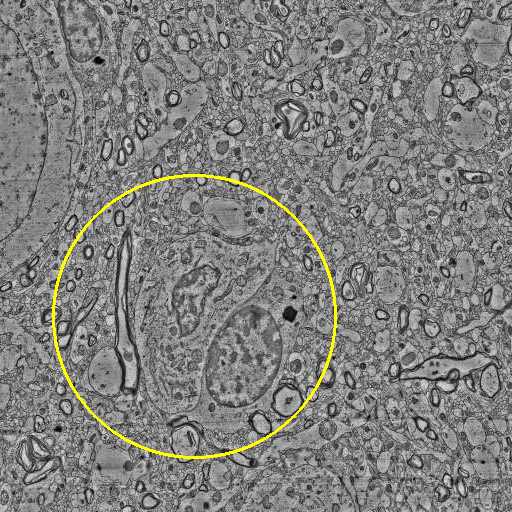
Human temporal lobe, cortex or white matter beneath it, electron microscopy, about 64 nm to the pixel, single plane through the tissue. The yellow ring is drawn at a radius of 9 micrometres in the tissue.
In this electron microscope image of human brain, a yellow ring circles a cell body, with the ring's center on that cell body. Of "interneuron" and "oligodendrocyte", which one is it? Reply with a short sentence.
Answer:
It is an interneuron at the center of the ring.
